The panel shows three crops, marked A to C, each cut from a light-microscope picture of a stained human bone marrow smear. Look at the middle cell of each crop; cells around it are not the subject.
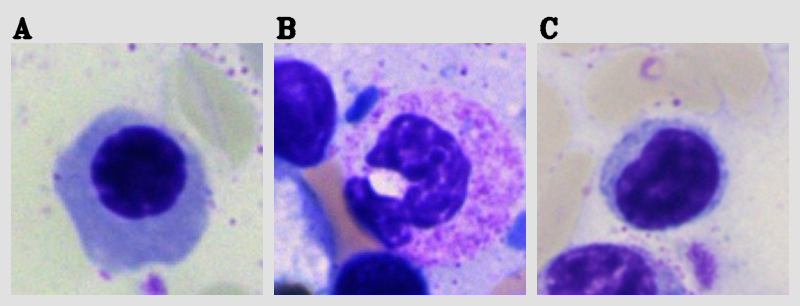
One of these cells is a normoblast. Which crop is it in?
A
